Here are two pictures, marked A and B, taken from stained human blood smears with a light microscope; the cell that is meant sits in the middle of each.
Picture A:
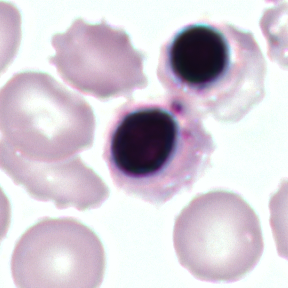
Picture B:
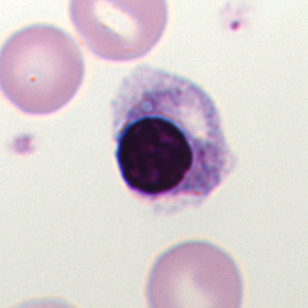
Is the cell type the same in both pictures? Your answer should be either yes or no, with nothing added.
yes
